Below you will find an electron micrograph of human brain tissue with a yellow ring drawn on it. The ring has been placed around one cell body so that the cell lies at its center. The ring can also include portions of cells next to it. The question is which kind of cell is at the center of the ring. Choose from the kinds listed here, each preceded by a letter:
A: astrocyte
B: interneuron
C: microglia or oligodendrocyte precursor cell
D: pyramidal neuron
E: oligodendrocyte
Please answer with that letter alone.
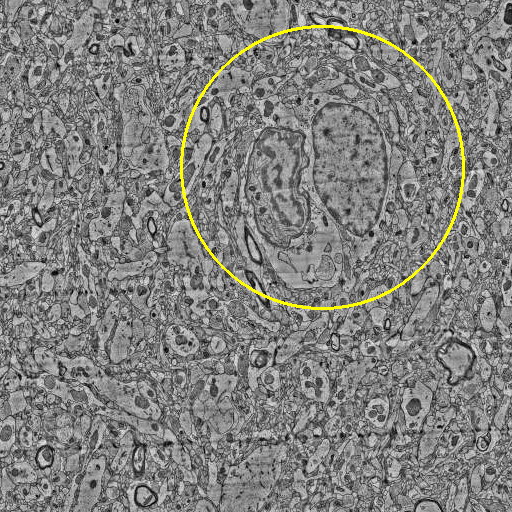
C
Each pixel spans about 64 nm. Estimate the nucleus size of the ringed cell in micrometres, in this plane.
The nucleus measures about 9 by 5 micrometres, so it is clearly longer than it is wide in this plane.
